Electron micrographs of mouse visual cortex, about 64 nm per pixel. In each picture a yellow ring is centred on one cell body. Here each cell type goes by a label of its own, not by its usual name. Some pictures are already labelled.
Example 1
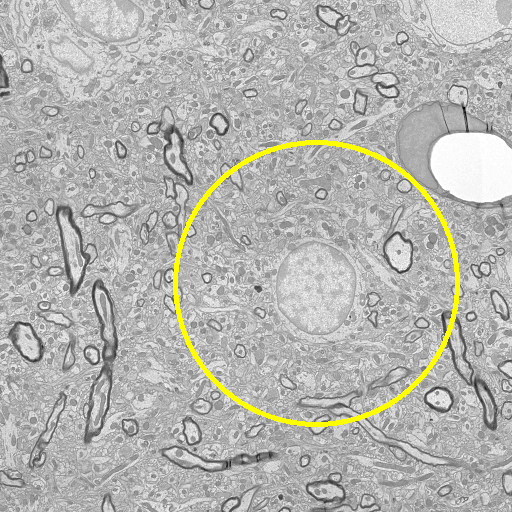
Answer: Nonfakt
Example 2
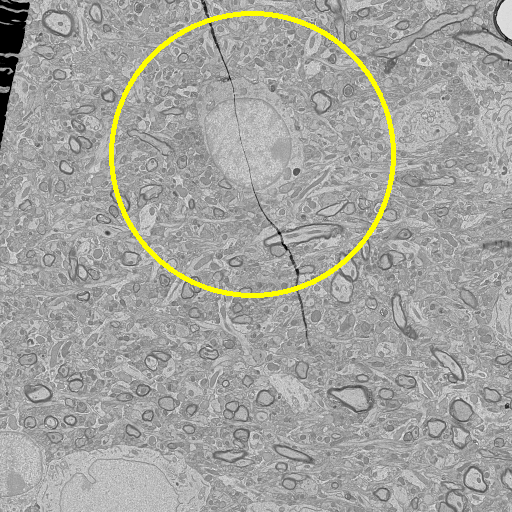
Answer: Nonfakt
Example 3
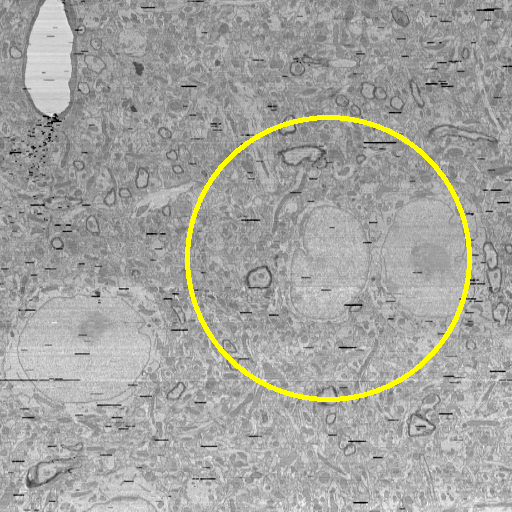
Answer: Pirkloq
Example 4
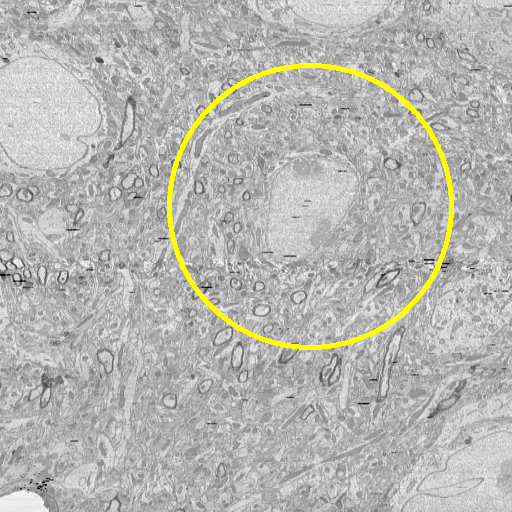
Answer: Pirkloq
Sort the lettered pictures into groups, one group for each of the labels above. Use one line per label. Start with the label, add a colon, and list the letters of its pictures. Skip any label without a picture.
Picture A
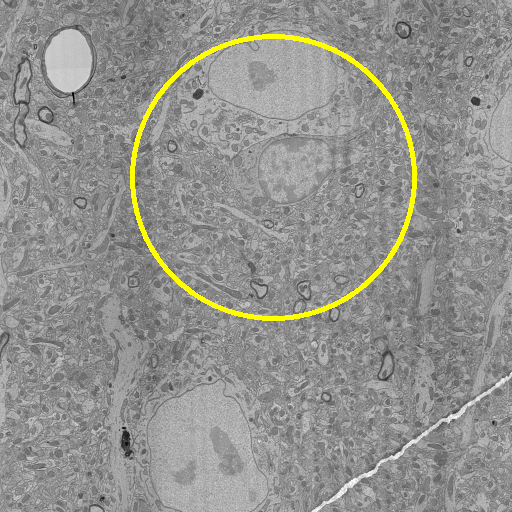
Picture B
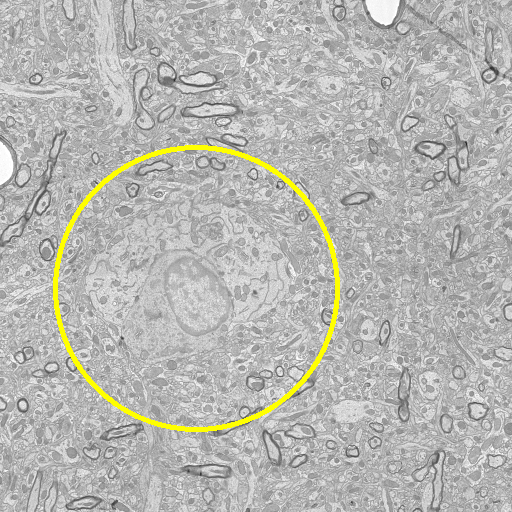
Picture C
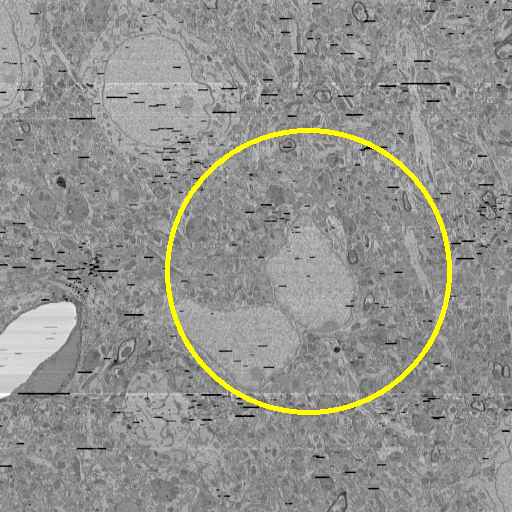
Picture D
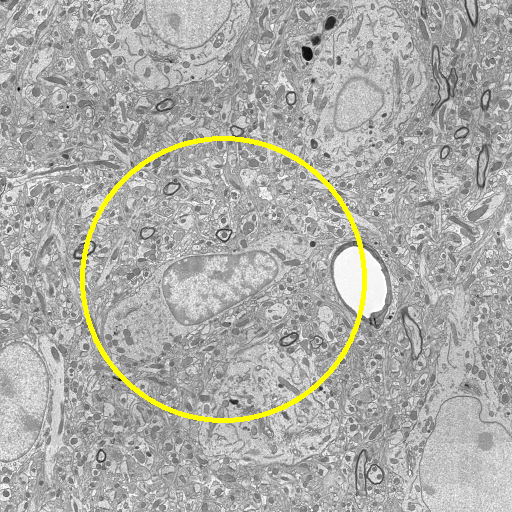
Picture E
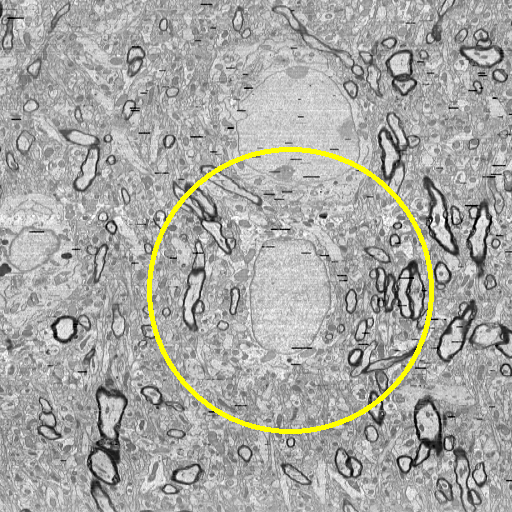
Nonfakt: A, B, D
Pirkloq: C, E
